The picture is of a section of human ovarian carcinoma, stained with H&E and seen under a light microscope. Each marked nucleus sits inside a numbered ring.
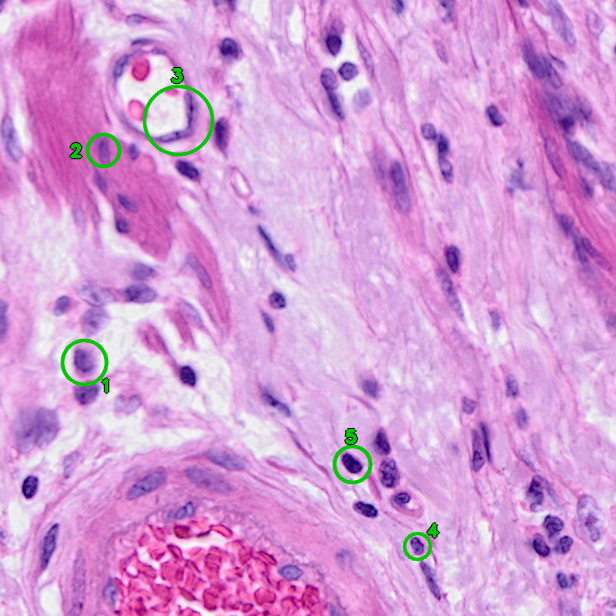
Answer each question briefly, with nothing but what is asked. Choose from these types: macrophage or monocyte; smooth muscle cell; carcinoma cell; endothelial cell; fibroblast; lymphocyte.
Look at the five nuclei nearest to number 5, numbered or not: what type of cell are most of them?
macrophage or monocyte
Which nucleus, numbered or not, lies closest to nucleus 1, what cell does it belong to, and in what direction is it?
a macrophage or monocyte; below nucleus 1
